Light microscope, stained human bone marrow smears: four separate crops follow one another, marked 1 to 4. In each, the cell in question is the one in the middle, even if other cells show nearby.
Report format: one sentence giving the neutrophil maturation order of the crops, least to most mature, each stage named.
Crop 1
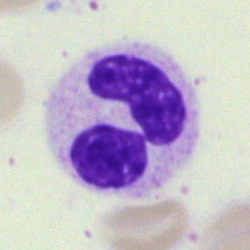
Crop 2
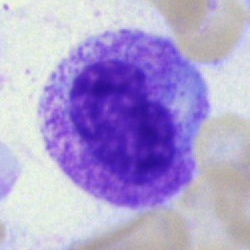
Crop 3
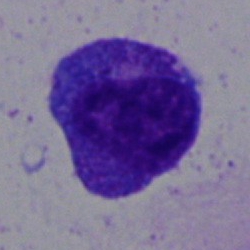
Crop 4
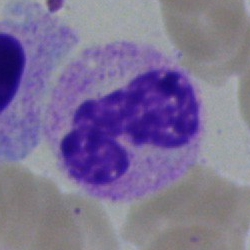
Ordered from the youngest stage to the most mature, the crops are crop 3 (a promyelocyte), crop 2 (a metamyelocyte), crop 4 (a band neutrophil) and crop 1 (a segmented neutrophil).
